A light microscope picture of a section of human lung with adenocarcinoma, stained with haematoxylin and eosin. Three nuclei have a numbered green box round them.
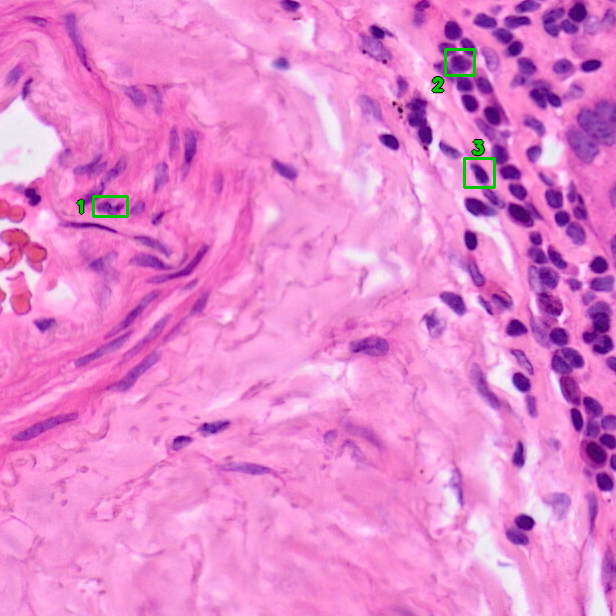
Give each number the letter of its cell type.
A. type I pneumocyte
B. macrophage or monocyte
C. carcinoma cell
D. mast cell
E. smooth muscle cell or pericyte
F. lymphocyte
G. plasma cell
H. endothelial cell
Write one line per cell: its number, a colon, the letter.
1: E
2: F
3: F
